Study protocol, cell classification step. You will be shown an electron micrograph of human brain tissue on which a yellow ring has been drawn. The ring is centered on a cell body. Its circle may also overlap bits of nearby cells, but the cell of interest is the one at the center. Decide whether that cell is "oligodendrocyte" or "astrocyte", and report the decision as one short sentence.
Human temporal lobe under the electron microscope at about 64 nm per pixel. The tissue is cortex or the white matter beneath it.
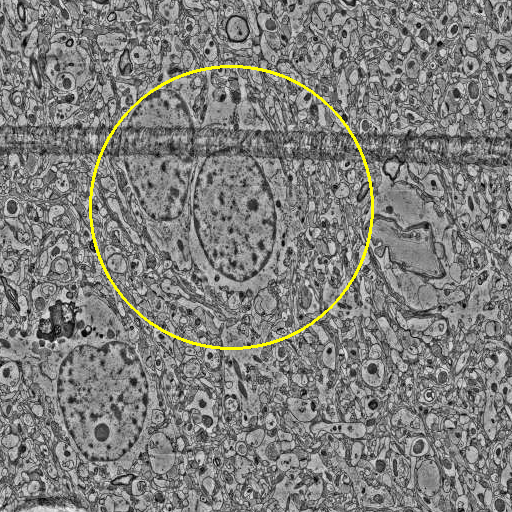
The marked cell is an astrocyte.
